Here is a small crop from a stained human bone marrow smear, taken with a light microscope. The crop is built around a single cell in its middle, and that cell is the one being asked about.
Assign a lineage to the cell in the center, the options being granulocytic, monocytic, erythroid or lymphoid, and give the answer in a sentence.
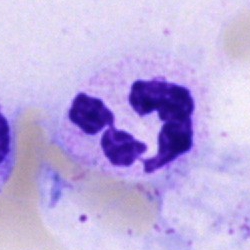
The centered cell is one of the granulocytic lineage.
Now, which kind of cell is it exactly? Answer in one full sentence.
Centred in the crop is a segmented neutrophil.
